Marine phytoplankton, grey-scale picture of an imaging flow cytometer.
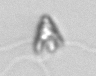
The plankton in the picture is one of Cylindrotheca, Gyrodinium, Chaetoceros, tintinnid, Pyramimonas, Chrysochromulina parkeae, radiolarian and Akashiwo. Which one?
Pyramimonas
